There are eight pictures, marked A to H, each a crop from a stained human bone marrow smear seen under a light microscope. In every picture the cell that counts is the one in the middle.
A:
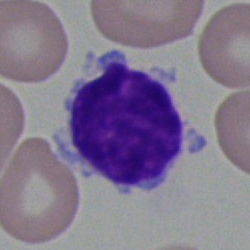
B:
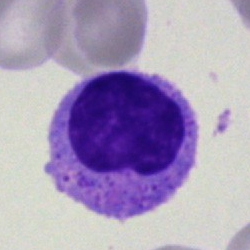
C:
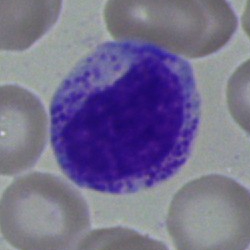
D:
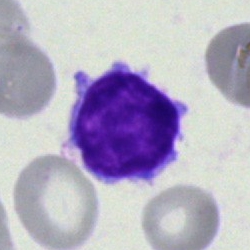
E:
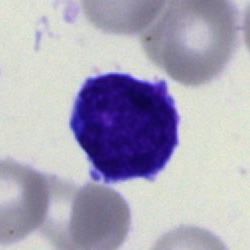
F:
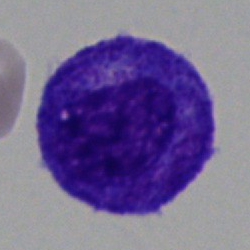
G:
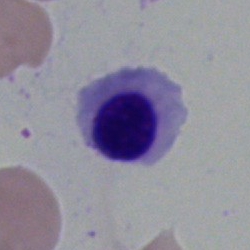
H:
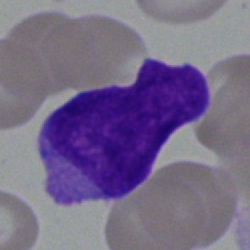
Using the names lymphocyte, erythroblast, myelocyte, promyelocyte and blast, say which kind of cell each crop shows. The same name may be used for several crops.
A: lymphocyte
B: myelocyte
C: myelocyte
D: lymphocyte
E: blast
F: promyelocyte
G: erythroblast
H: blast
